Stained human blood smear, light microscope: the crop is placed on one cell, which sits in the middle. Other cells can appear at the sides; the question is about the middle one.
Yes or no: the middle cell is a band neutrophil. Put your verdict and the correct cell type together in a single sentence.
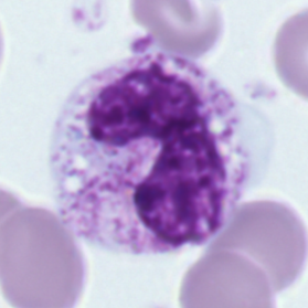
Yes, a band neutrophil is what the central cell is.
